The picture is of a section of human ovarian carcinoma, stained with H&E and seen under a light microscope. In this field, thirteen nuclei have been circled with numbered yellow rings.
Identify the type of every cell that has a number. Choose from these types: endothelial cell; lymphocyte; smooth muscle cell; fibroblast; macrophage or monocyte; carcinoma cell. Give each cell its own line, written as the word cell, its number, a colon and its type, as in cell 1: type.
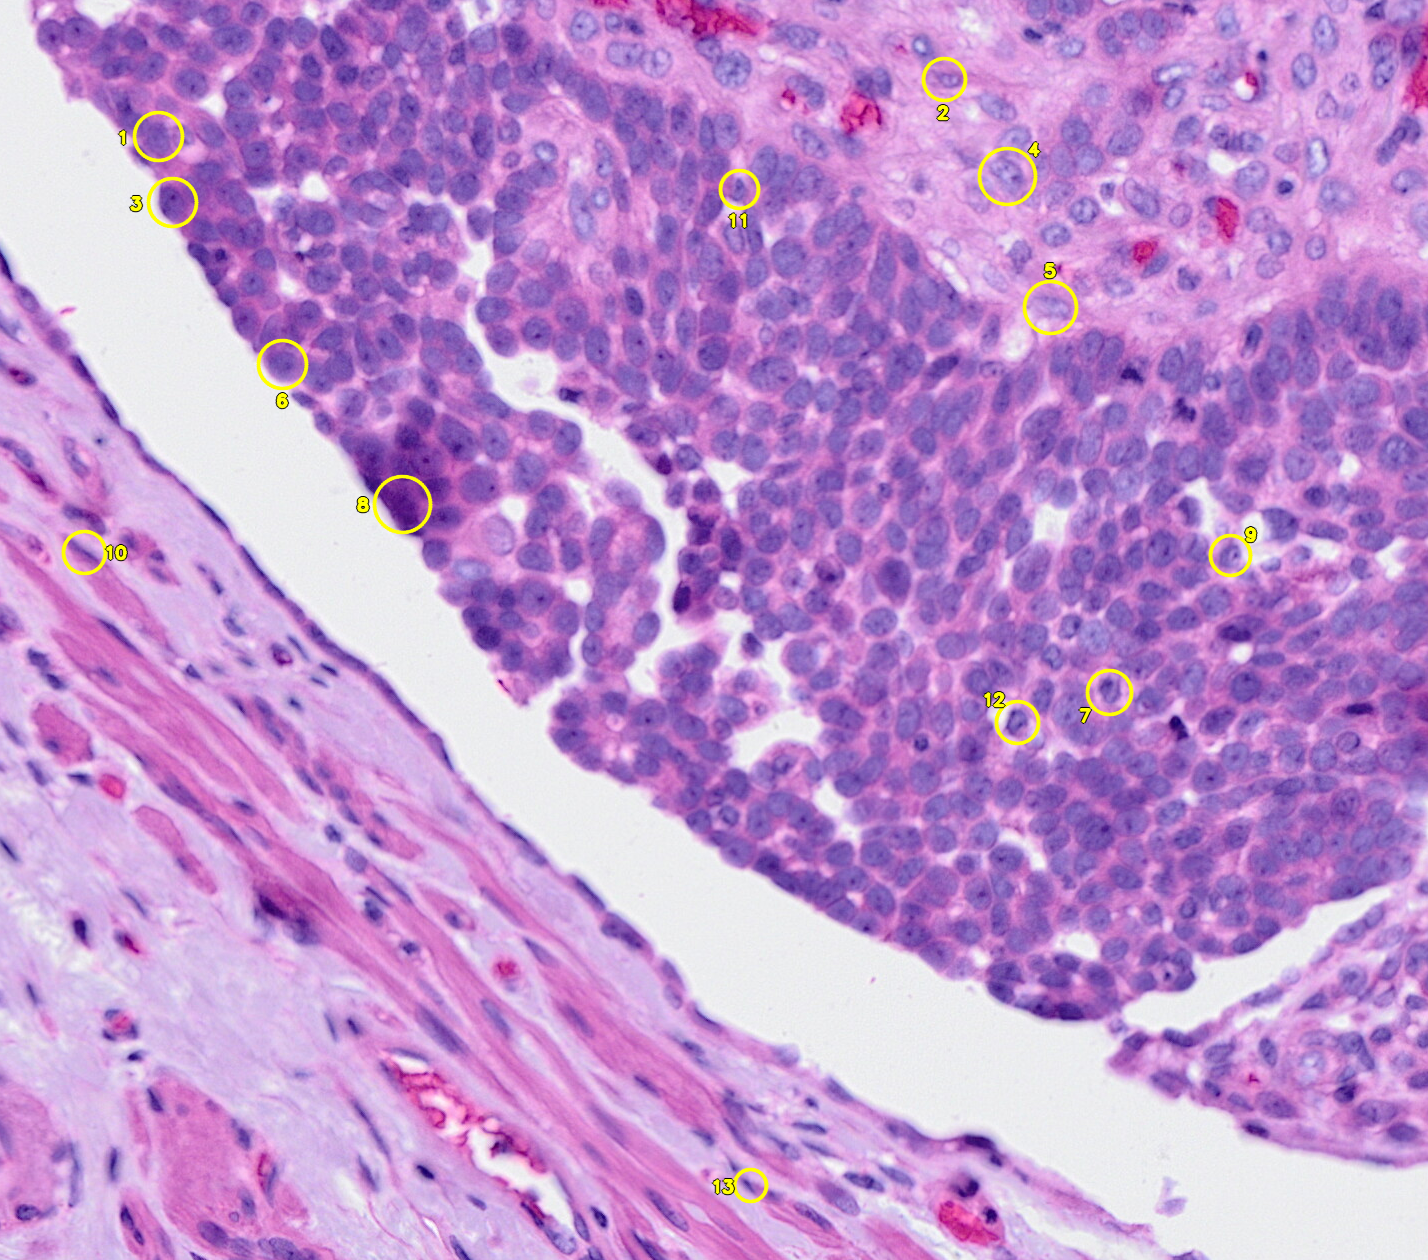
cell 1: carcinoma cell
cell 2: endothelial cell
cell 3: carcinoma cell
cell 4: fibroblast
cell 5: fibroblast
cell 6: carcinoma cell
cell 7: macrophage or monocyte
cell 8: carcinoma cell
cell 9: macrophage or monocyte
cell 10: smooth muscle cell
cell 11: macrophage or monocyte
cell 12: macrophage or monocyte
cell 13: smooth muscle cell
